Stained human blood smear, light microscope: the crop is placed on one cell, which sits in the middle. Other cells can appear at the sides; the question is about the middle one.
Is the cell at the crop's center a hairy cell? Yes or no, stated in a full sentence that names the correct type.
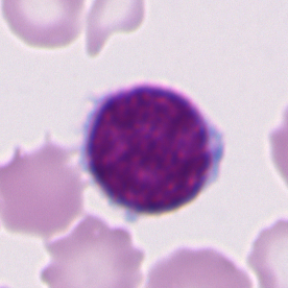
Yes, the cell sitting in the middle of this smear crop is a hairy cell.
